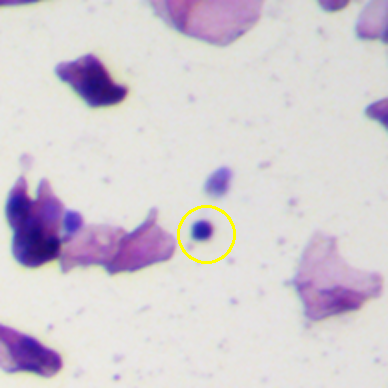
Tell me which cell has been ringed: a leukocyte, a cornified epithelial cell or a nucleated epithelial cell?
It is a leukocyte.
